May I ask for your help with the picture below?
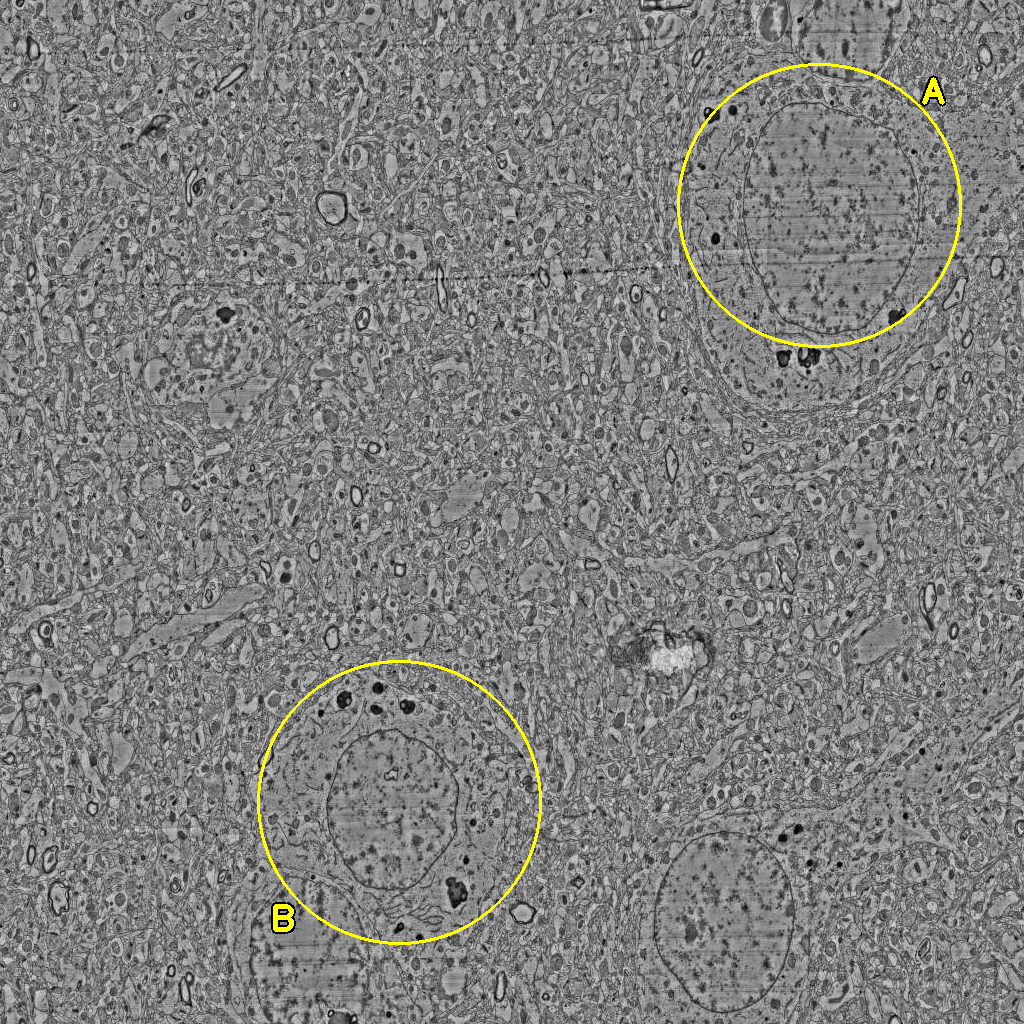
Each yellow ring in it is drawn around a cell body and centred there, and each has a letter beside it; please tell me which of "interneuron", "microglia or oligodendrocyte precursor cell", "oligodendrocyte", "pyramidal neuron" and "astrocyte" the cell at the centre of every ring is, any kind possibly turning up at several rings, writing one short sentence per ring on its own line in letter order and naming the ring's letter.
Ring A is drawn around the cell body of a pyramidal neuron.
Ring B is drawn around the cell body of a pyramidal neuron.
